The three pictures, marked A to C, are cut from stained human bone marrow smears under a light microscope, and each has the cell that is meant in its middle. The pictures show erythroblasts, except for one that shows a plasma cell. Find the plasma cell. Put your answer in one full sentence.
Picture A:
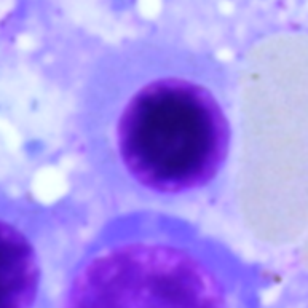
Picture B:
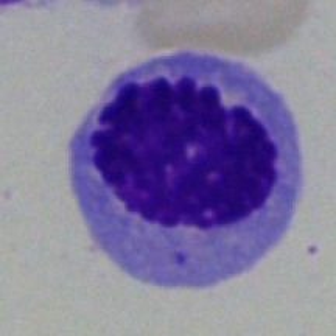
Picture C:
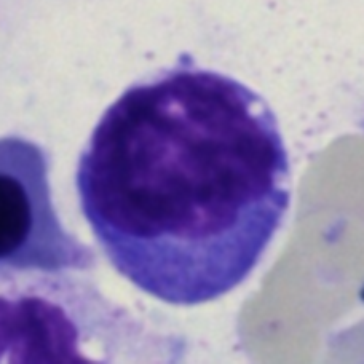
Picture C shows the plasma cell.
